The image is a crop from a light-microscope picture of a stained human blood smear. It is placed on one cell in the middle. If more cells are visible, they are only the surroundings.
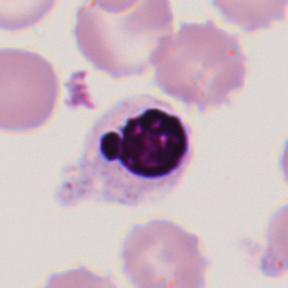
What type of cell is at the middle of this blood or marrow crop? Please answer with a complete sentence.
Centrally within this crop lies a normoblast.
